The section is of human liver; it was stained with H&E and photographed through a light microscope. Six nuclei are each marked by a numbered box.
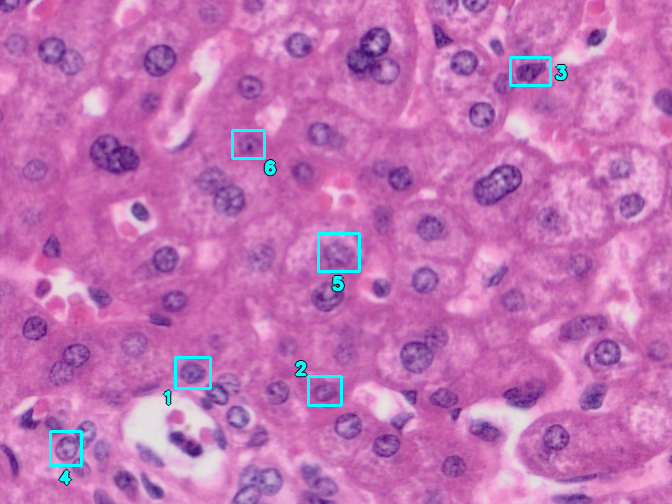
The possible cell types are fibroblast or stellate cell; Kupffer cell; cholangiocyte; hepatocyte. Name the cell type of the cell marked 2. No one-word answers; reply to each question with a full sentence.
It is as a hepatocyte that the cell numbered 2 is identified.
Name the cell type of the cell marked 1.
The cell with the number 1 is a cholangiocyte.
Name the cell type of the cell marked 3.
The mark numbered 3 indicates the nucleus of a fibroblast or stellate cell.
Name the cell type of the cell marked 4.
The label 4 in this section denotes a cholangiocyte.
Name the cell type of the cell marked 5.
At number 5, the marked cell is a hepatocyte.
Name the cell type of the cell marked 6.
The expected answer is that cell 6 is a hepatocyte.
